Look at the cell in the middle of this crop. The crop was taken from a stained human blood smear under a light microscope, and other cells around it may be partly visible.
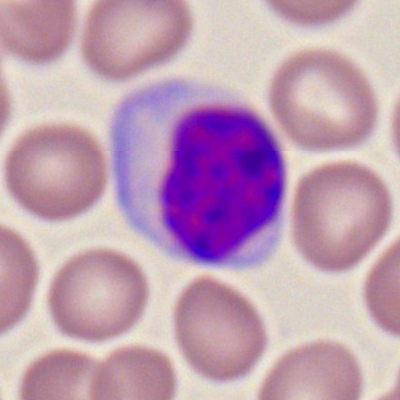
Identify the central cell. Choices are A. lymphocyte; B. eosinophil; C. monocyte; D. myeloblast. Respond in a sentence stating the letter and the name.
The cell right in the middle is a lymphocyte, so option A is the one.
